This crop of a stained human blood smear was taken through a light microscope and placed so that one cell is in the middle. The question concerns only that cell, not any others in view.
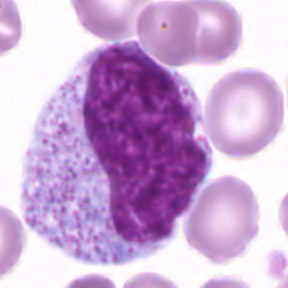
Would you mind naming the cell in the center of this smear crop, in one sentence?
Here the centrally located cell is a myelocyte.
